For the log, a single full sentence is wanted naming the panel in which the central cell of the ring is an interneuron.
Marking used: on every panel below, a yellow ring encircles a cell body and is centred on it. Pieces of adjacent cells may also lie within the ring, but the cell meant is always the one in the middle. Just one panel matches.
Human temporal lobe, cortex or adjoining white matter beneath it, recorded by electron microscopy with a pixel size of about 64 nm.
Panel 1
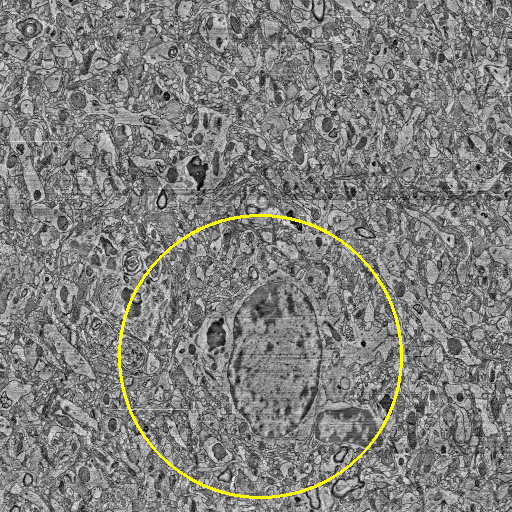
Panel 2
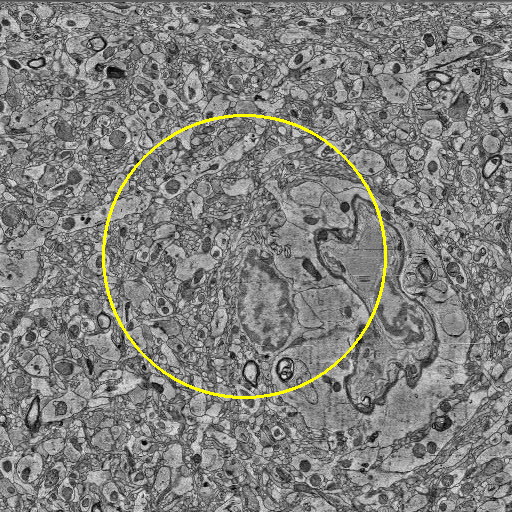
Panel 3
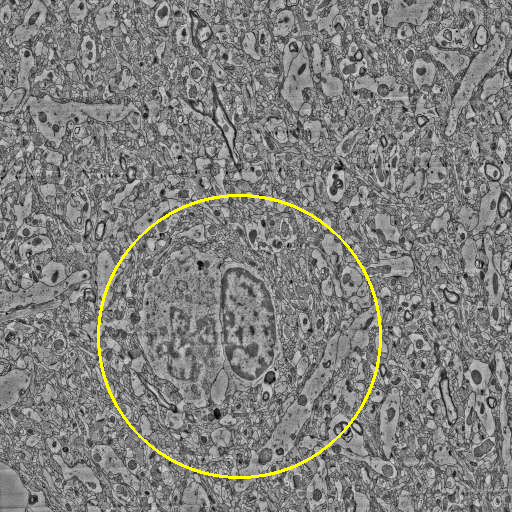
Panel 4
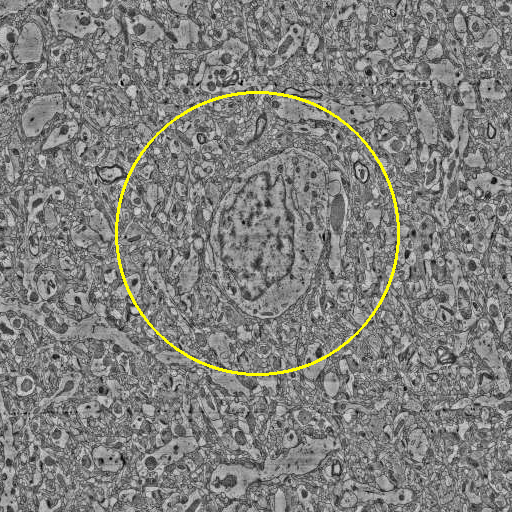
The cell in the middle of the ring in panel 4 is the one asked for.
